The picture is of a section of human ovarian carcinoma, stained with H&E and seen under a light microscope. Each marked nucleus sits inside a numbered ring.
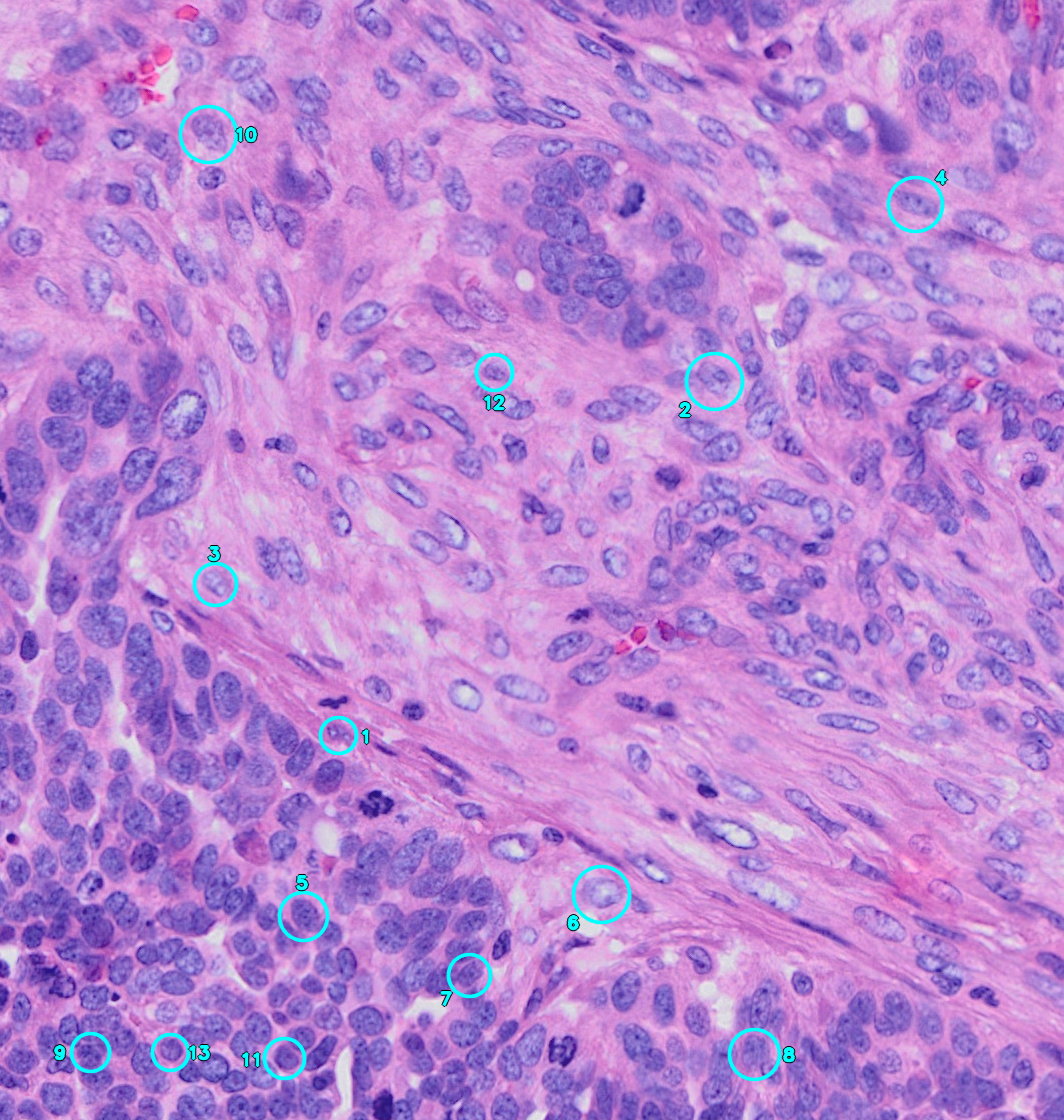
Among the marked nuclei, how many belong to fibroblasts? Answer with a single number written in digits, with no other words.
7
